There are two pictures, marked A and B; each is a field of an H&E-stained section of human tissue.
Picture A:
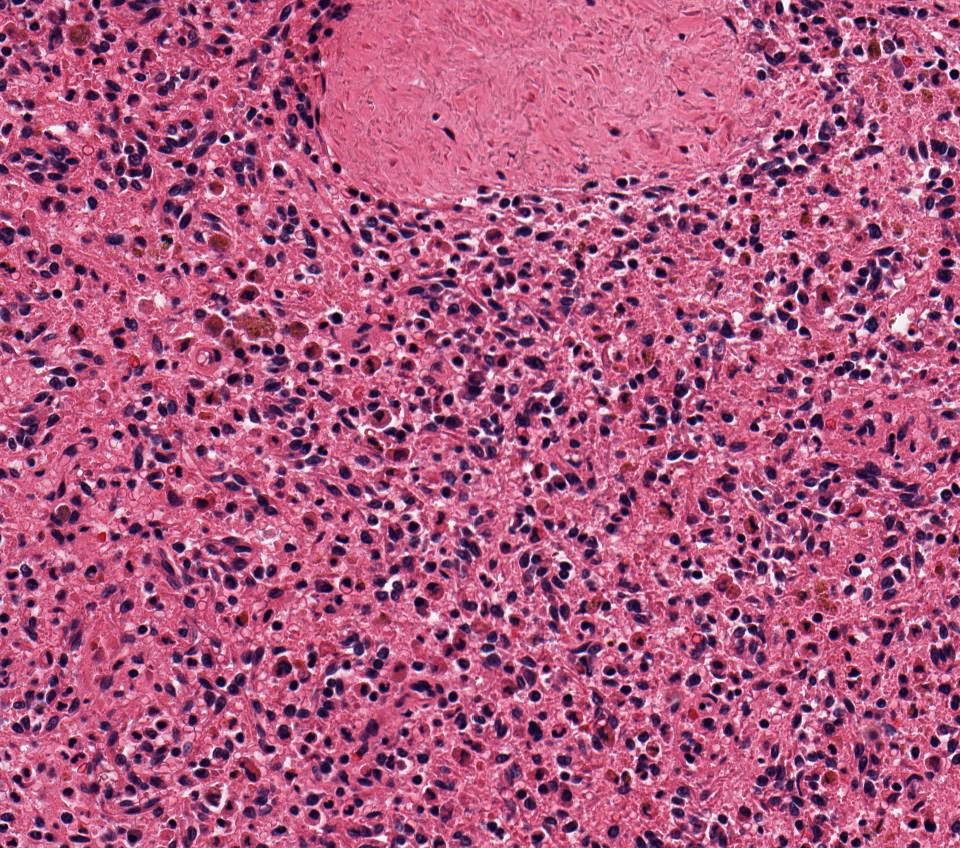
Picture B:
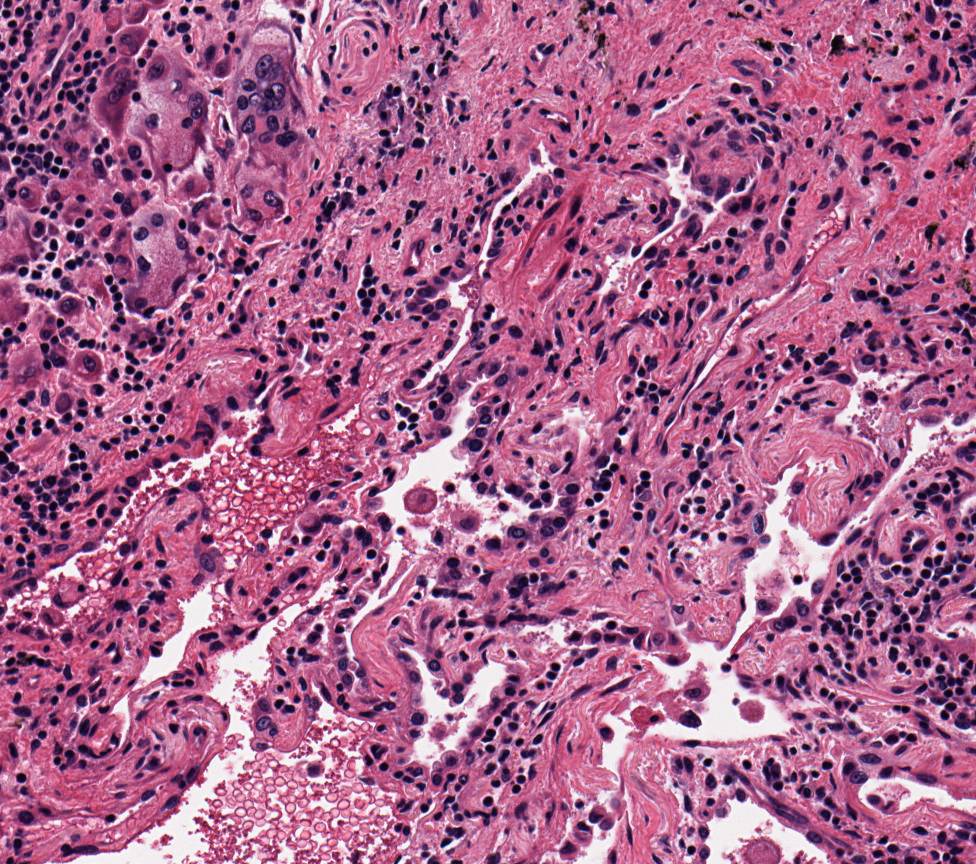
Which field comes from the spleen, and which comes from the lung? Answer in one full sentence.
Picture B comes from the lung, while picture A comes from the spleen.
